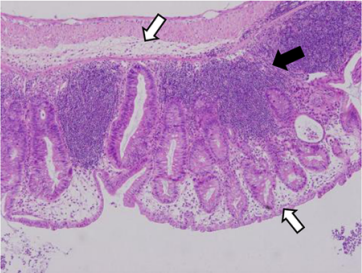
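This section of colon shows a mucosa heavily crowded by inflammatory cells. A dense, dark-purple mass of small round nuclei spreads through the mucosa and toward the deeper layers, obliterating crypts in its path. The remaining crypts are irregular, some dilated, with pink-purple epithelium lining them. Beneath the mucosa and along the bottom edge the tissue is pale, loose and widened, with sparse cells and clear spaces between fibres, in keeping with fluid accumulation. A pink muscular layer runs along the top. Overall architecture is distorted compared with an orderly row of straight, evenly spaced crypts.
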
